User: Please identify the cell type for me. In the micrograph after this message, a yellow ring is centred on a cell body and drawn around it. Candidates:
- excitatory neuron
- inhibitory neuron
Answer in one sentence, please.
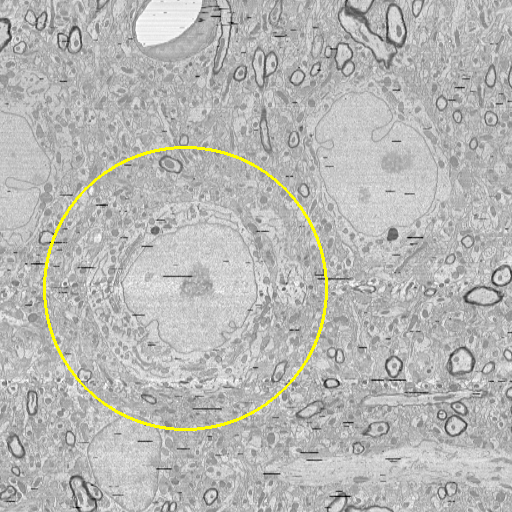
The ring is drawn around the cell body of an inhibitory neuron.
